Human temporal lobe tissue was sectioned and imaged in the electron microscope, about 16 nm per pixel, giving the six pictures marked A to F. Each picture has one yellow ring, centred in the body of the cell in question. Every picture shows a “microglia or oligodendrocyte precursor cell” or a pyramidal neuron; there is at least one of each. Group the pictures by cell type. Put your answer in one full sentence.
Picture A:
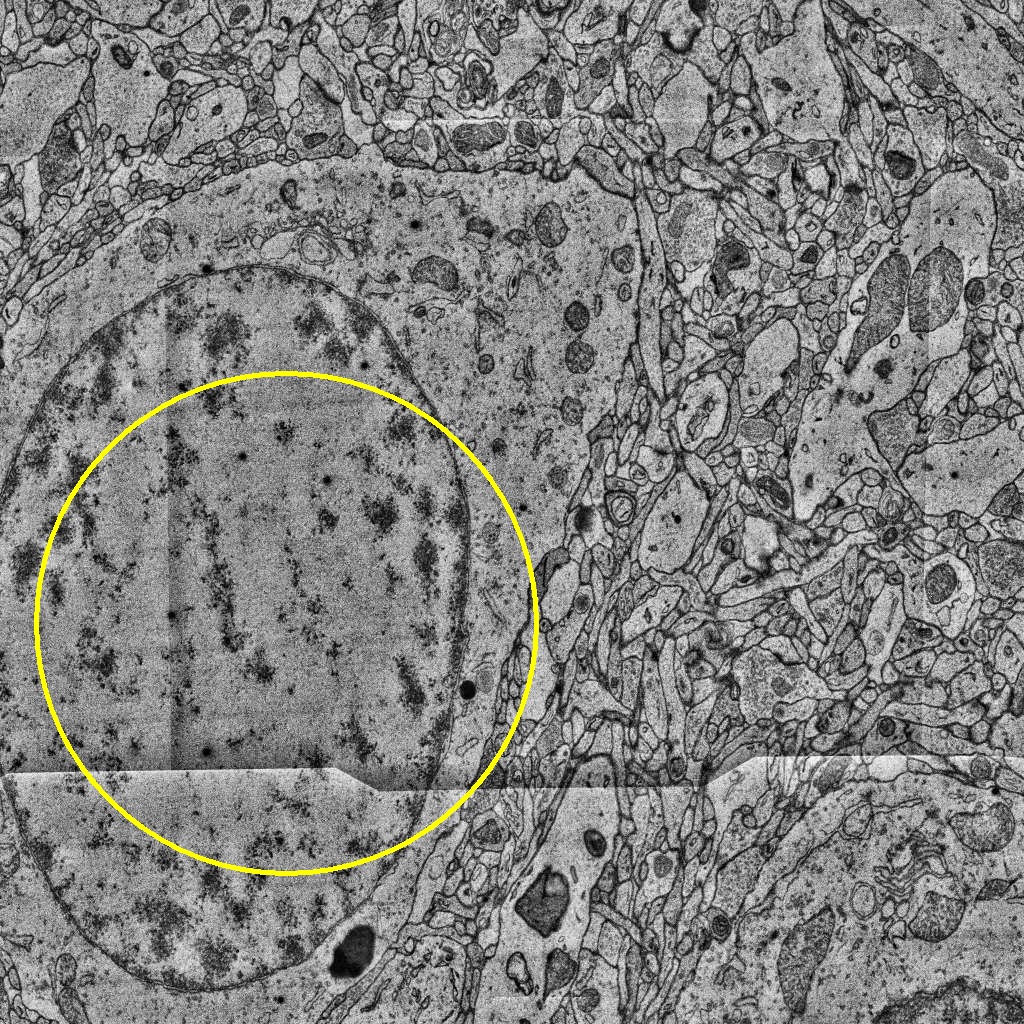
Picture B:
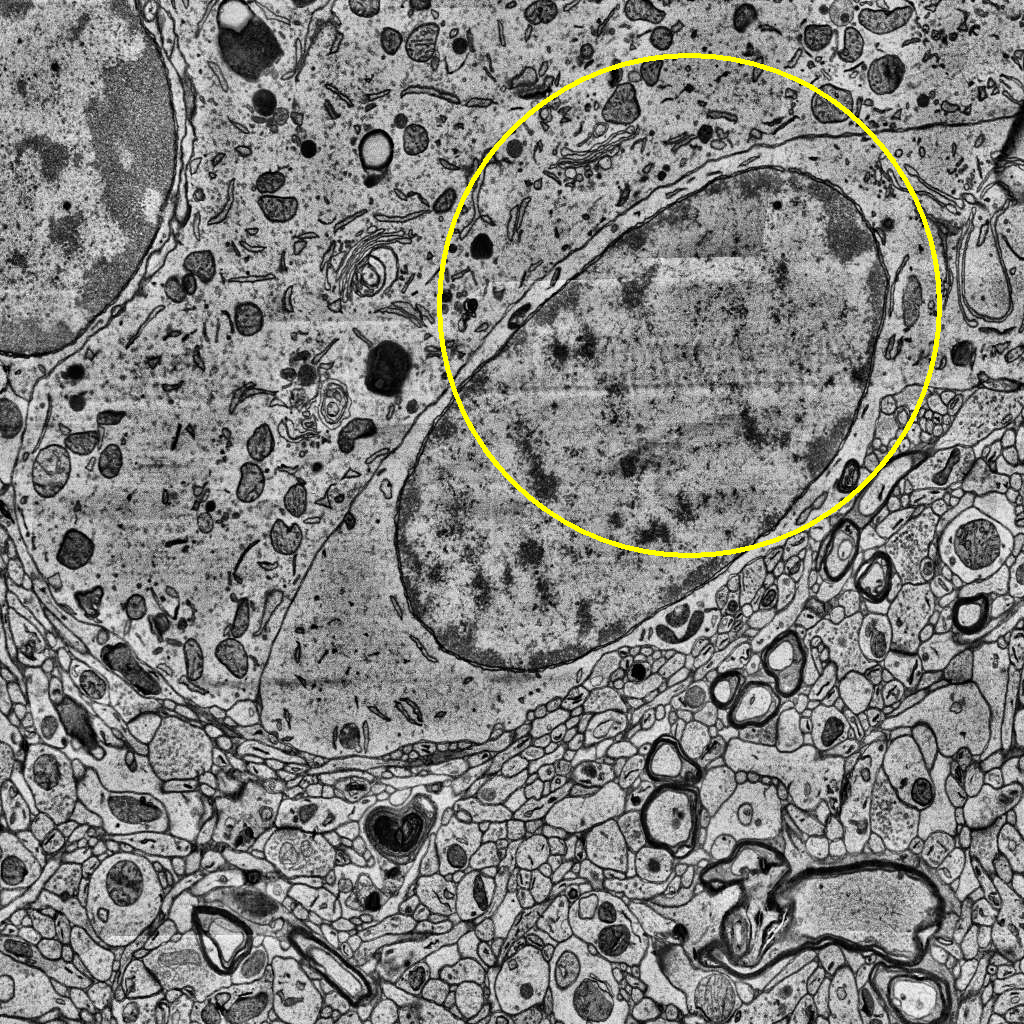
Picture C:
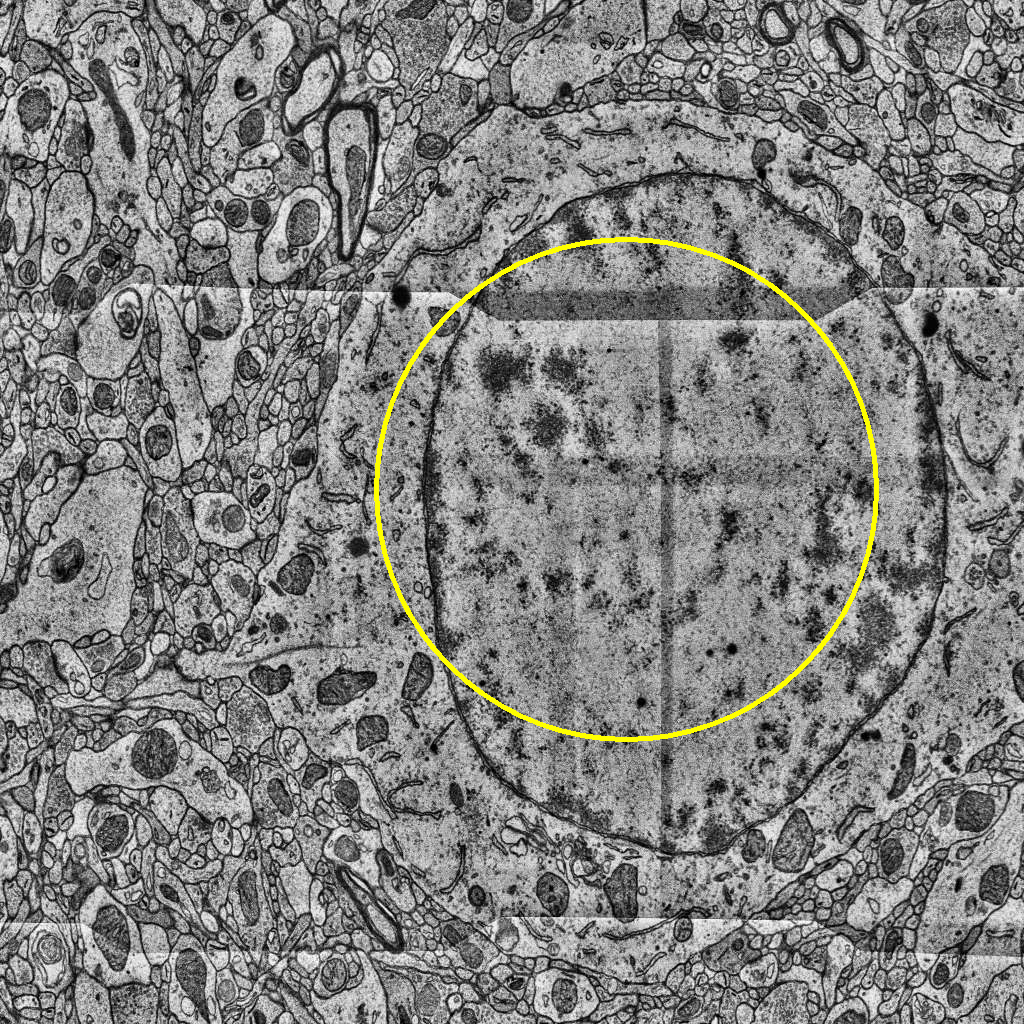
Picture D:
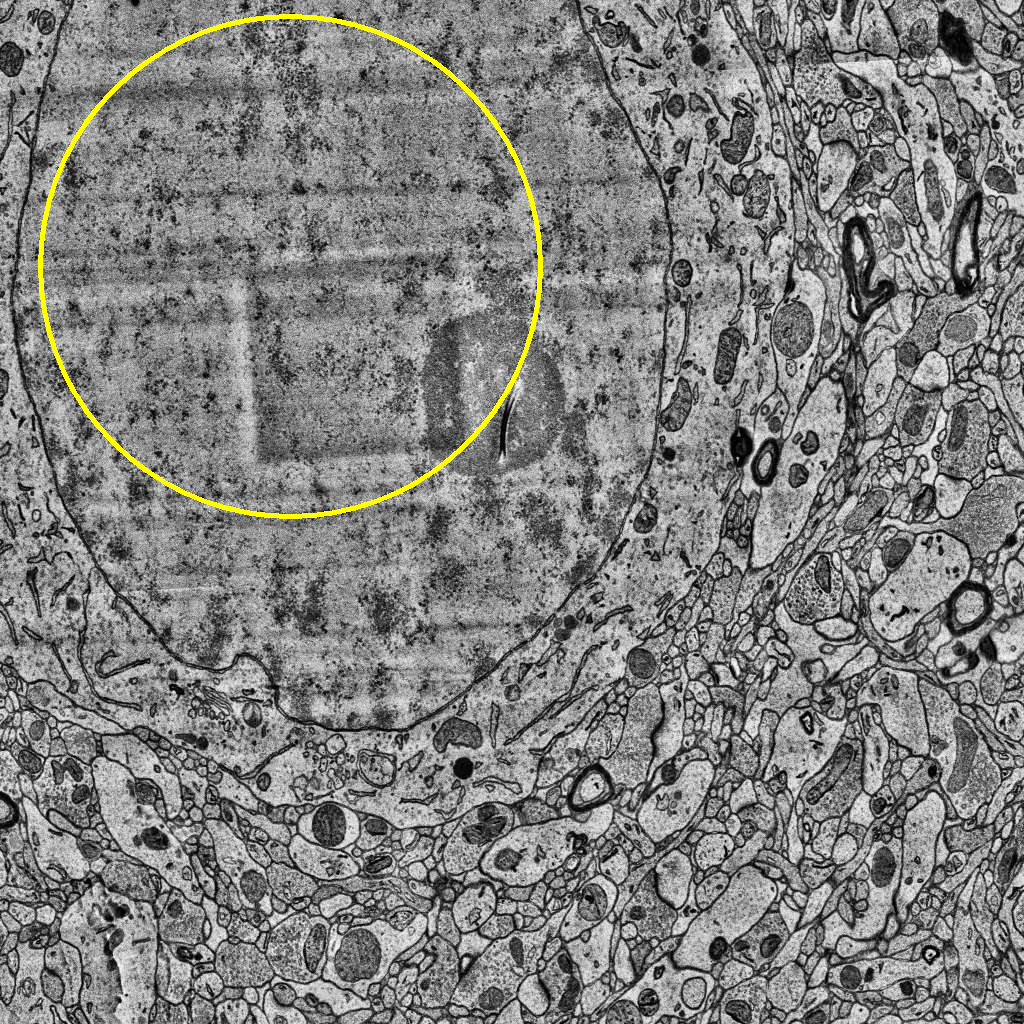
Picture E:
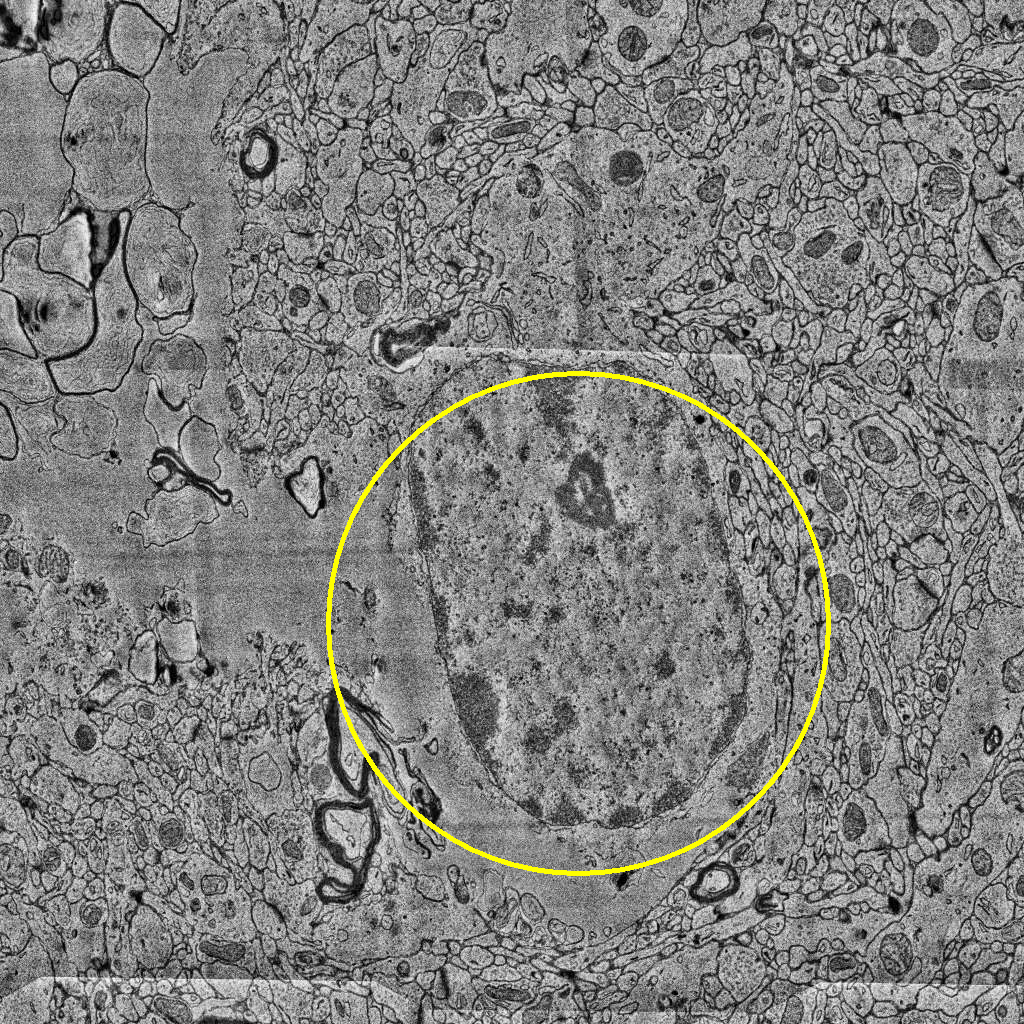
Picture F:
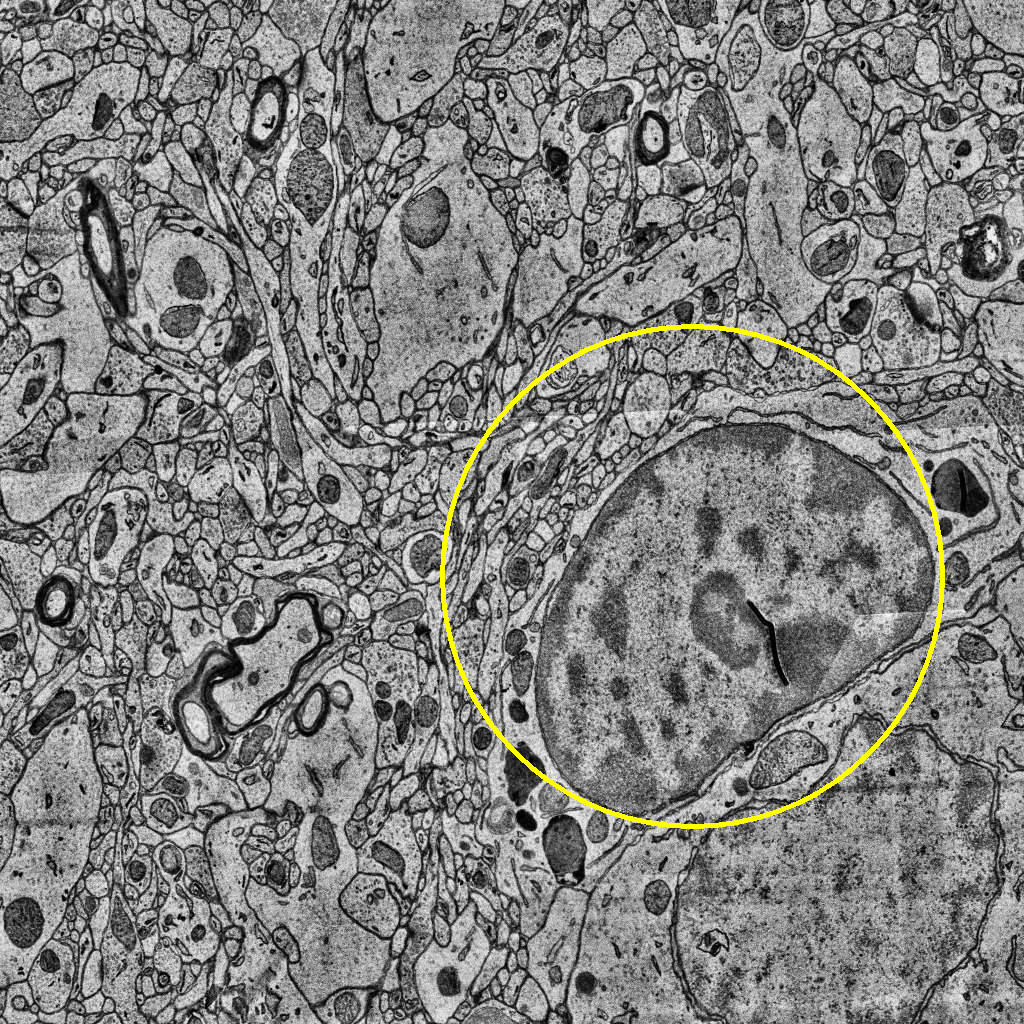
Pictures B, E and F show “microglia or oligodendrocyte precursor cells”, and pictures A, C and D show pyramidal neurons.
